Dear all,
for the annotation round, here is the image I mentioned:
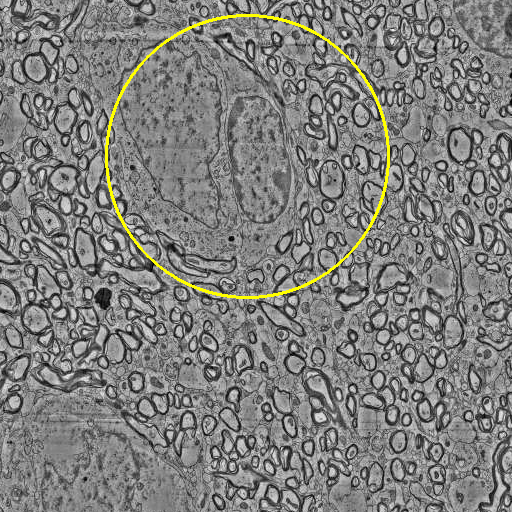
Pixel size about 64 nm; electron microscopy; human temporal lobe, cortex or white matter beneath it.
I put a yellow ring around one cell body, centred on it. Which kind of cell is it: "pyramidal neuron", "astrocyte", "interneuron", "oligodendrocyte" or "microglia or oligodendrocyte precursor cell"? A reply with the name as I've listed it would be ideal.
microglia or oligodendrocyte precursor cell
